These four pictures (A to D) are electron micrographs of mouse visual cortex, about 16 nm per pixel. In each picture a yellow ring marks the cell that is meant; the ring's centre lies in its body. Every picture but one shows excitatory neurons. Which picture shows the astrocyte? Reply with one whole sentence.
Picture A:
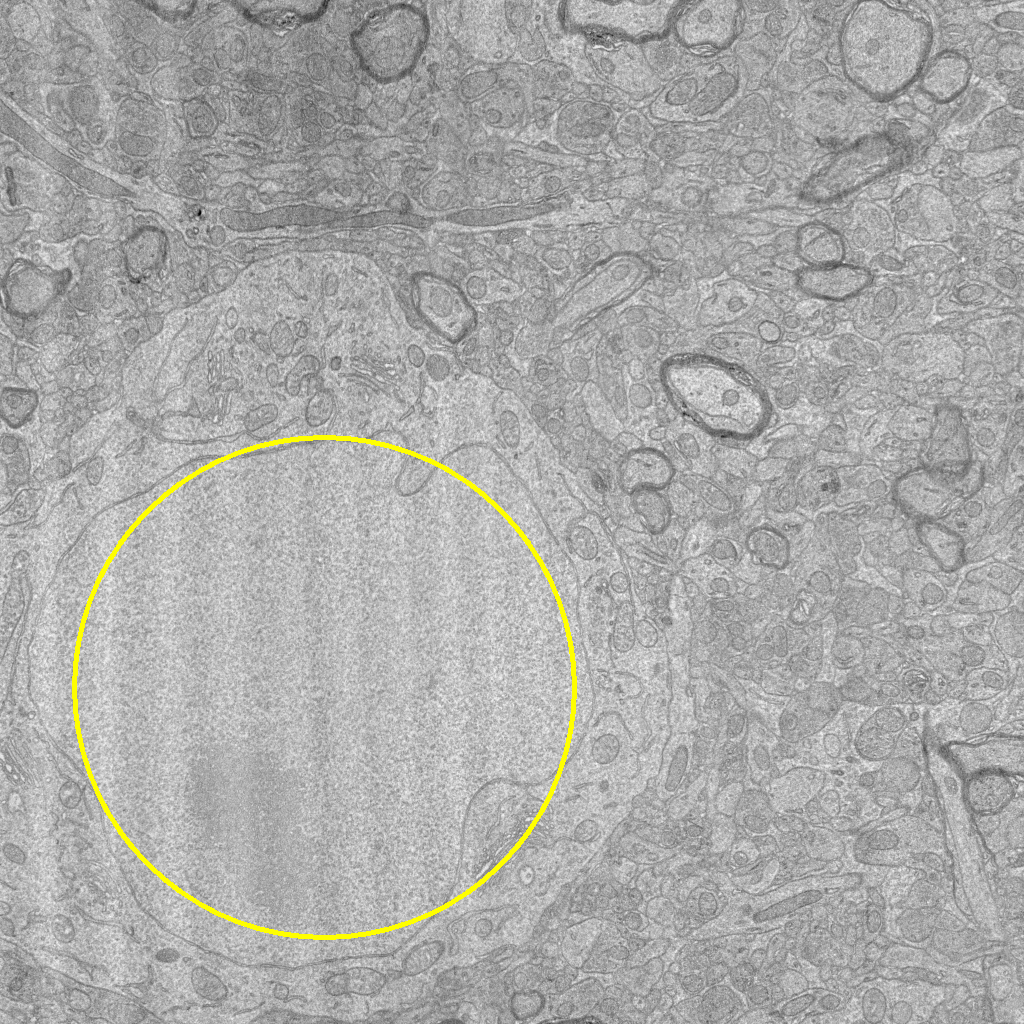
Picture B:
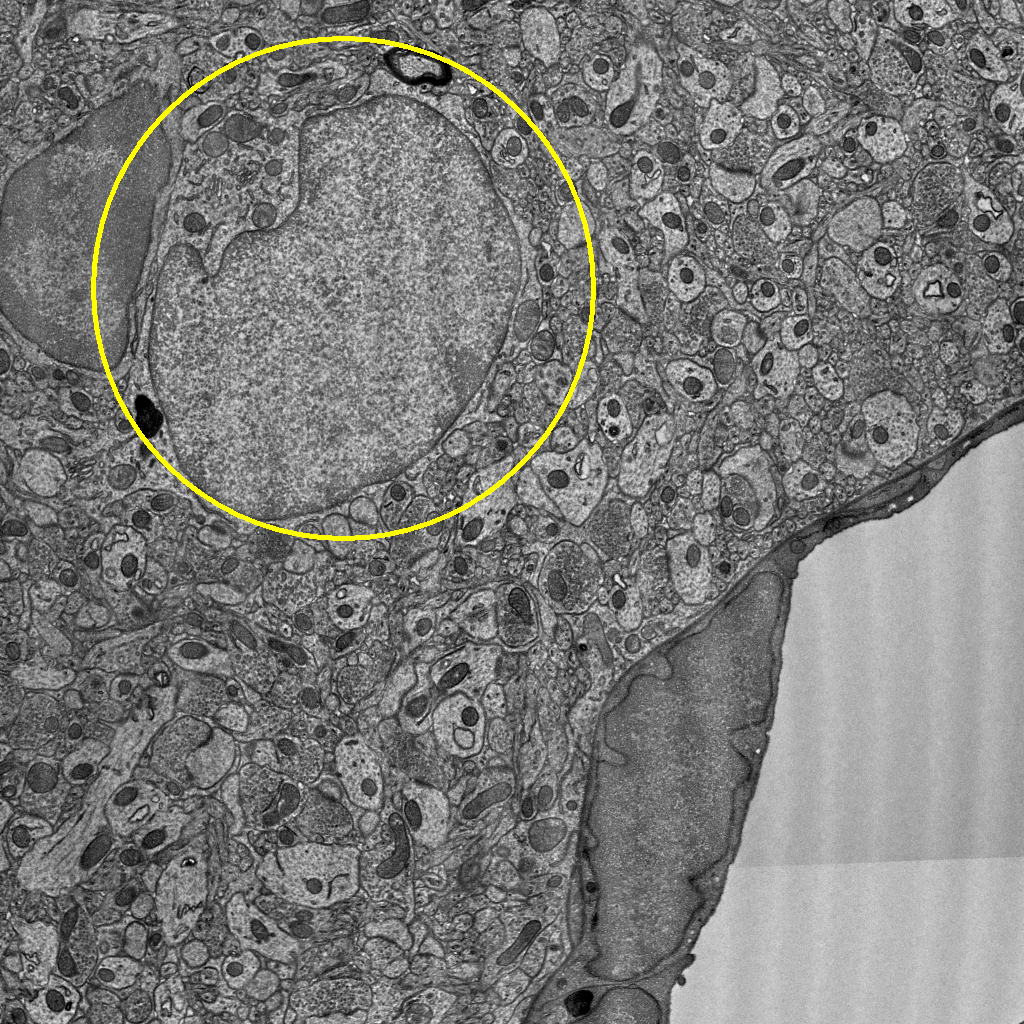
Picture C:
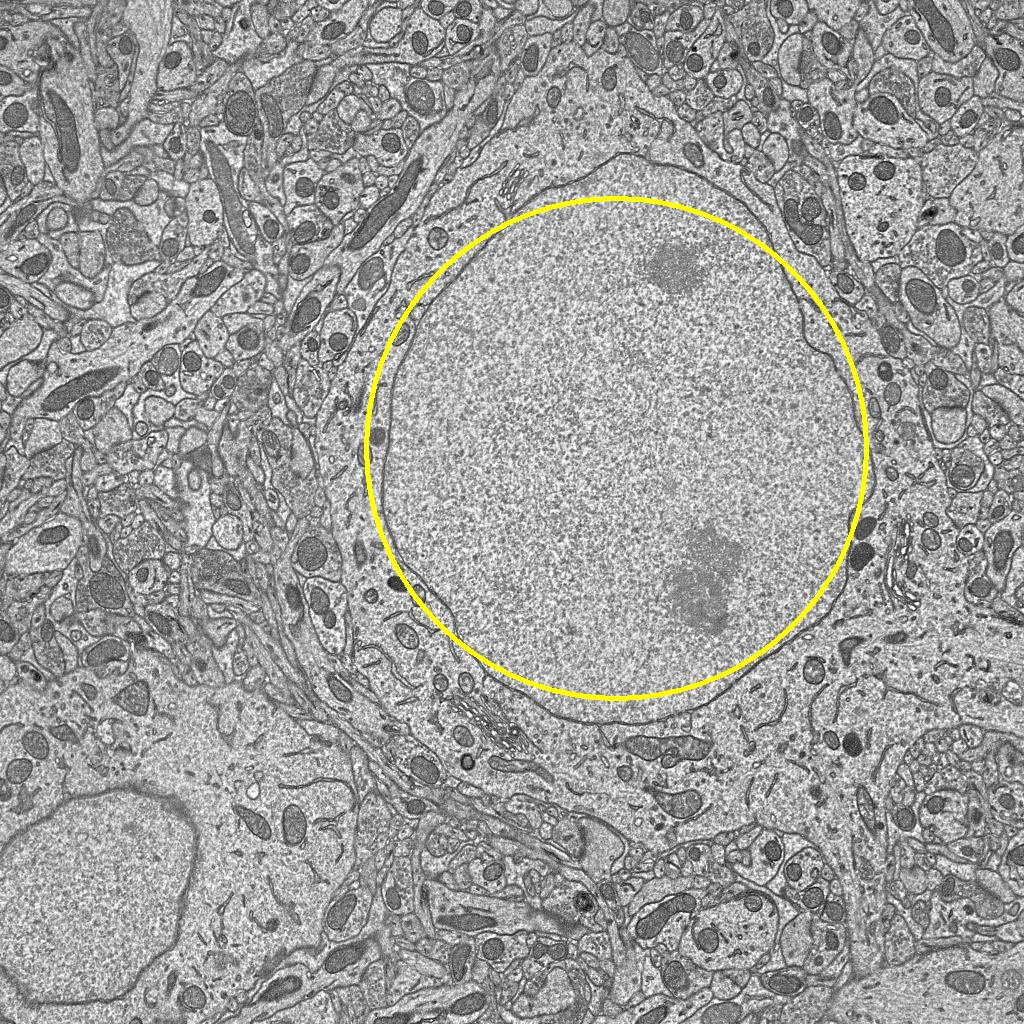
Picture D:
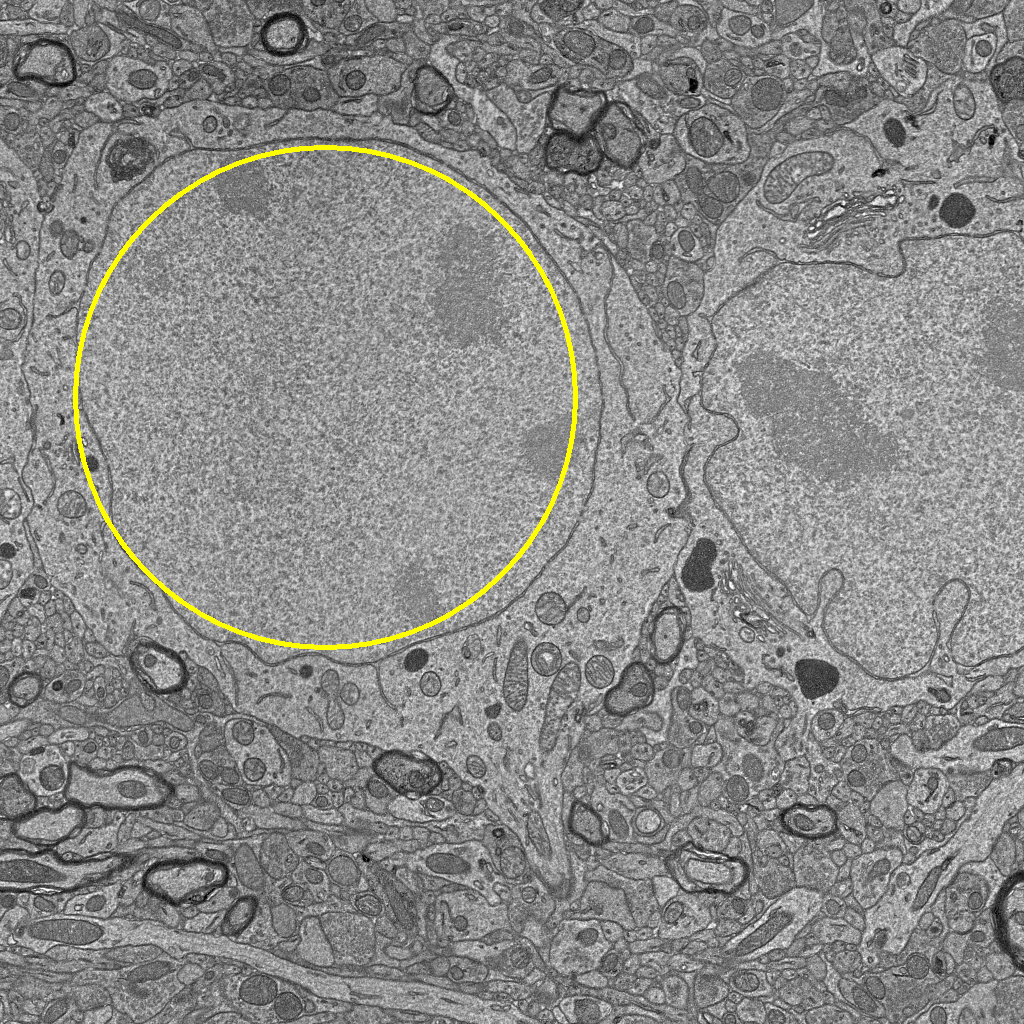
The picture with the astrocyte is B.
